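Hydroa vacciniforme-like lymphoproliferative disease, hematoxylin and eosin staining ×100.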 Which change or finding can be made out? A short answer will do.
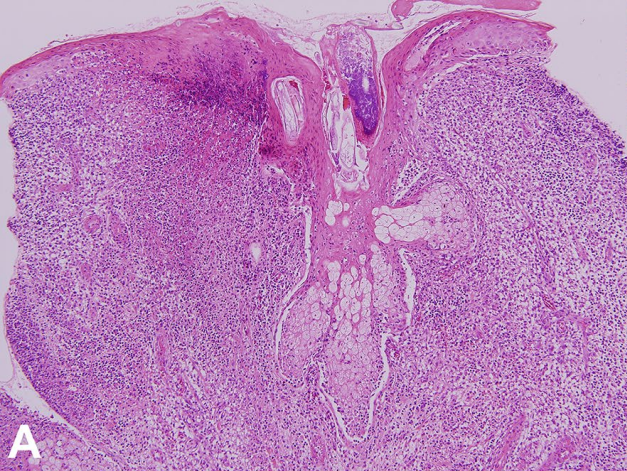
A: Diffuse and dense infiltration of lymphocytes in the dermis.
